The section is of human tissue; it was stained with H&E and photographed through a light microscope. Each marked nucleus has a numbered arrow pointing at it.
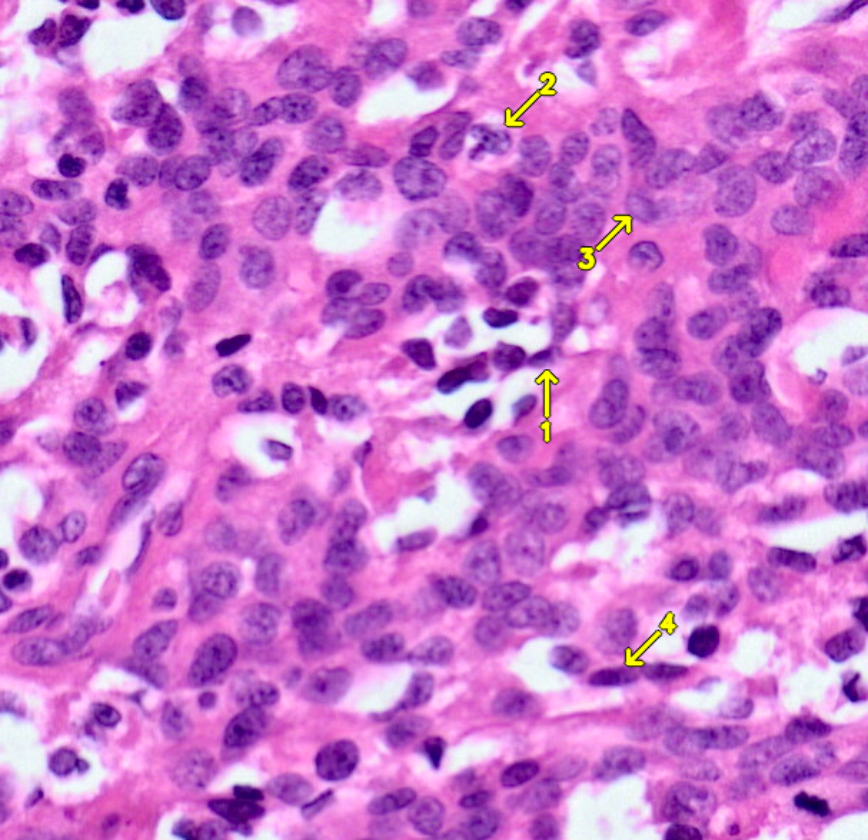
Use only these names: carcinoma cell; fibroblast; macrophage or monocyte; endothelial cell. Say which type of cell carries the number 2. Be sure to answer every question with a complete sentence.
Cell 2 in the field is a macrophage or monocyte.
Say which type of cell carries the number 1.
Heads up, the cell numbered 1 is a carcinoma cell.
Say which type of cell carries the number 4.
The cell bearing label 4 corresponds to a carcinoma cell.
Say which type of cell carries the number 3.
The cell that carries the label 3 is a carcinoma cell.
